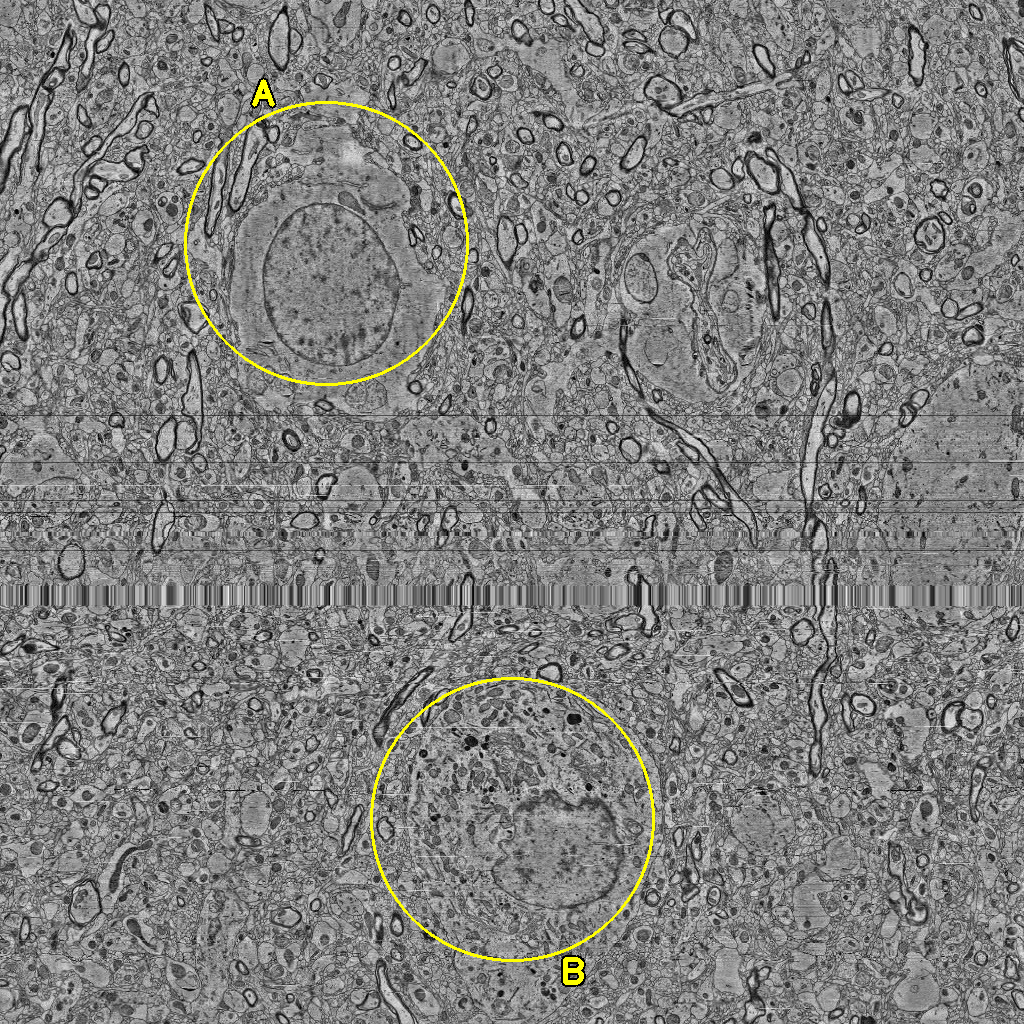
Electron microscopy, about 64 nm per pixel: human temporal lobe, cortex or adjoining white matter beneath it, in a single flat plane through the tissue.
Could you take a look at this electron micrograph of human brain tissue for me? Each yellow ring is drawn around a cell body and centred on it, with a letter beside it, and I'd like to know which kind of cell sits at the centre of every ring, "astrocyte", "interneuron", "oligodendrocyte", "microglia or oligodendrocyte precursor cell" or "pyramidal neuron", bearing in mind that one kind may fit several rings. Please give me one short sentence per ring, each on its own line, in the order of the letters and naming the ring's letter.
Ring A is centred on an astrocyte.
Ring B is centred on an interneuron.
